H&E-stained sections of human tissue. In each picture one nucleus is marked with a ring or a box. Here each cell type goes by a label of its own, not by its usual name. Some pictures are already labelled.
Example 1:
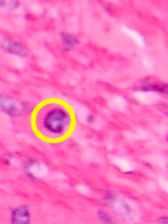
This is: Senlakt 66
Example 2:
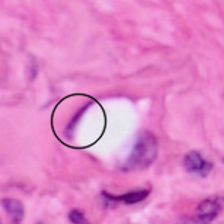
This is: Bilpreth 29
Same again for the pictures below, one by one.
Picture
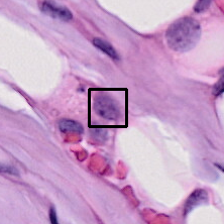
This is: Bilpreth 29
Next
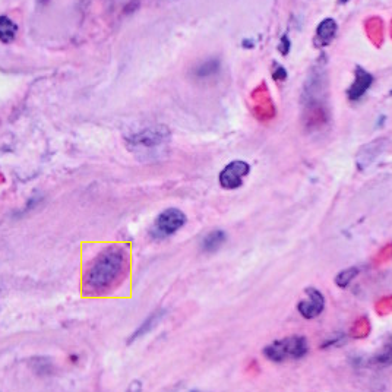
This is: Senlakt 66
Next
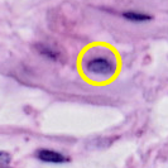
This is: Senlakt 66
